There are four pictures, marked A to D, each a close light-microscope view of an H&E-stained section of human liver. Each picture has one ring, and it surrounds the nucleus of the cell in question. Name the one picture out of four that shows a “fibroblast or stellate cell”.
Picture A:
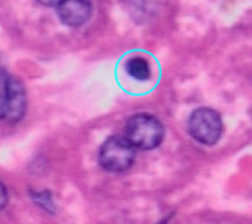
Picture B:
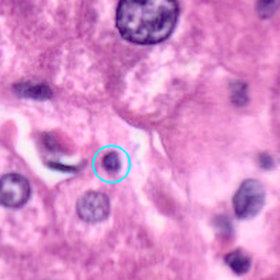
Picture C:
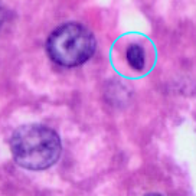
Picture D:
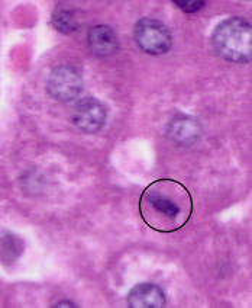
D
